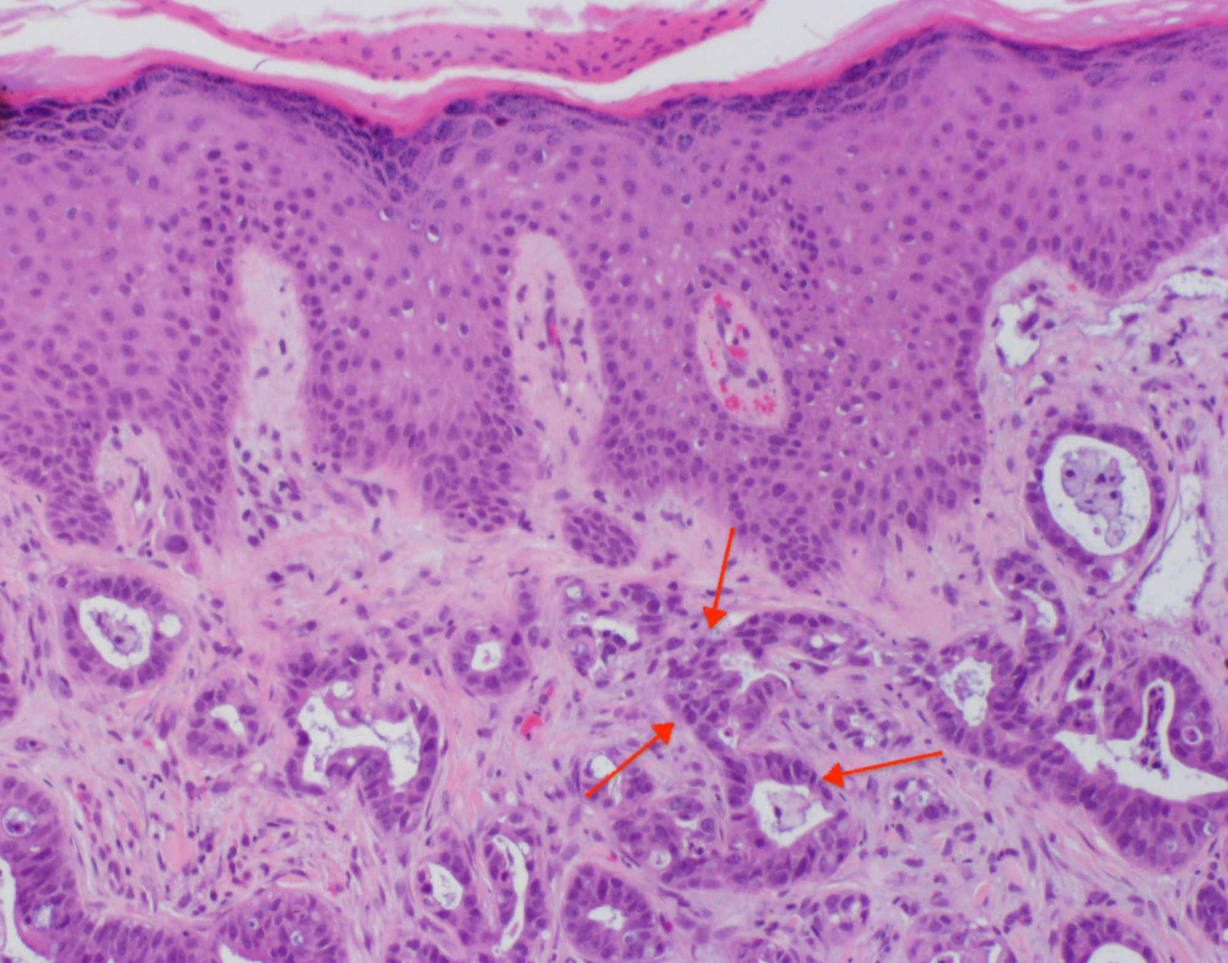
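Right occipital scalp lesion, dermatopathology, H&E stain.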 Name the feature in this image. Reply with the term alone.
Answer: Well-formed glandular structures.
